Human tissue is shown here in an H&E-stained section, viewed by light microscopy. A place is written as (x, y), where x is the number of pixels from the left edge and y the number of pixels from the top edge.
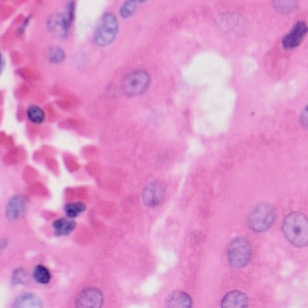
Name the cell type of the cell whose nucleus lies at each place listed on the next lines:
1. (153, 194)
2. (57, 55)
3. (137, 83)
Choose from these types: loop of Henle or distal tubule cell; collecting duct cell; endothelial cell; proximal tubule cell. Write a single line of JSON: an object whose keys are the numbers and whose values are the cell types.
{"1": "proximal tubule cell", "2": "collecting duct cell", "3": "proximal tubule cell"}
